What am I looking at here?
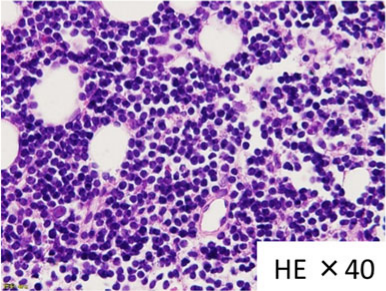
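This is bone marrow almost entirely filled by a uniform population of small lymphocytes. The cells are round, with dark dense nuclei and very little cytoplasm, packed in sheets between a few scattered fat vacuoles.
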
